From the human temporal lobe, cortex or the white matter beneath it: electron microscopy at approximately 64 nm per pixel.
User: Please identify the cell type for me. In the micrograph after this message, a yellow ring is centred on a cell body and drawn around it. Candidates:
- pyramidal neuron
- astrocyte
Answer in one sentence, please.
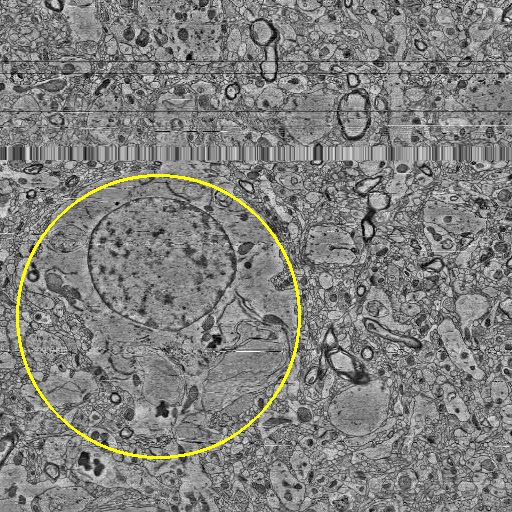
The ring is drawn around the cell body of an astrocyte.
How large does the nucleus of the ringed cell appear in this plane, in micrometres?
In this plane, the nucleus of the cell at the centre of the ring is about 9 micrometres across.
